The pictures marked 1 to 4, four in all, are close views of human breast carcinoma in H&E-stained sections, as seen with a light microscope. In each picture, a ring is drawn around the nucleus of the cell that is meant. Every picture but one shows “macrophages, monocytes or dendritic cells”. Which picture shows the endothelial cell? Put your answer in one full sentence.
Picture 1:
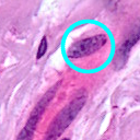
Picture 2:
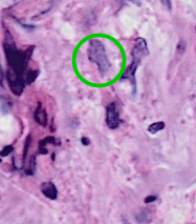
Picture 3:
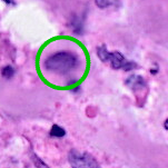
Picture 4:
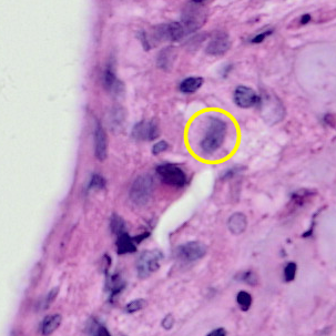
Picture 1 is the one that shows the endothelial cell.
